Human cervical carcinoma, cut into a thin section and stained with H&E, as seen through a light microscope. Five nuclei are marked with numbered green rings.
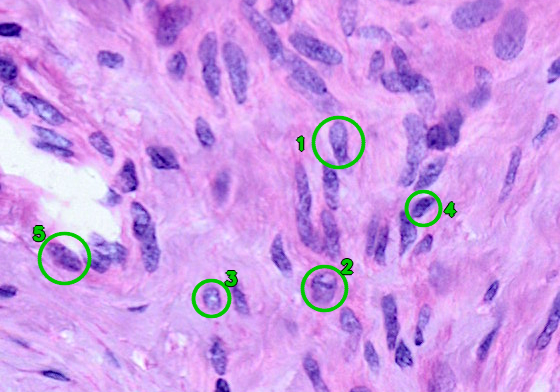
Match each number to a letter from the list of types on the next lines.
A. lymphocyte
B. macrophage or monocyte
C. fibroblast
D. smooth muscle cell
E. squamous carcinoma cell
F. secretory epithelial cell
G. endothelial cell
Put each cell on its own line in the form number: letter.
1: D
2: D
3: D
4: C
5: G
